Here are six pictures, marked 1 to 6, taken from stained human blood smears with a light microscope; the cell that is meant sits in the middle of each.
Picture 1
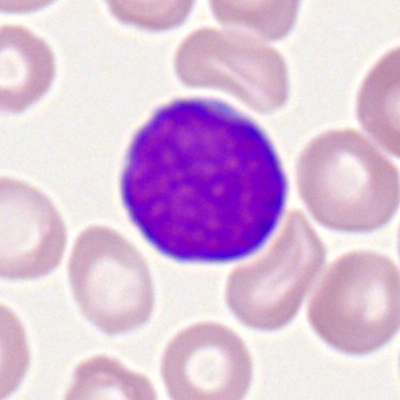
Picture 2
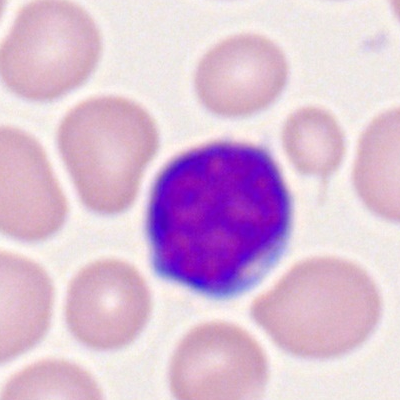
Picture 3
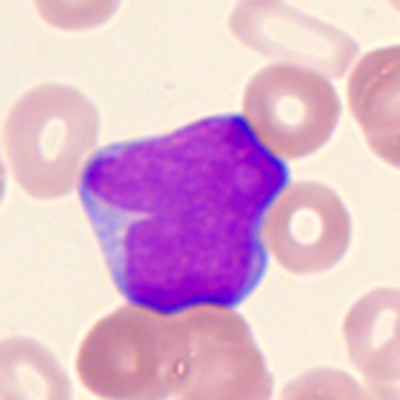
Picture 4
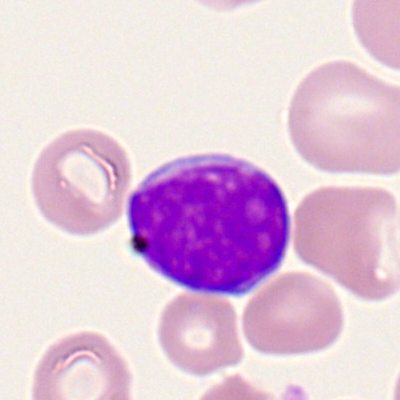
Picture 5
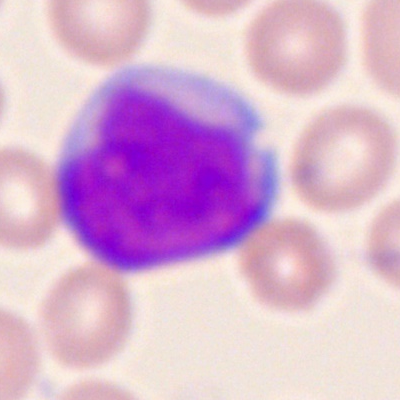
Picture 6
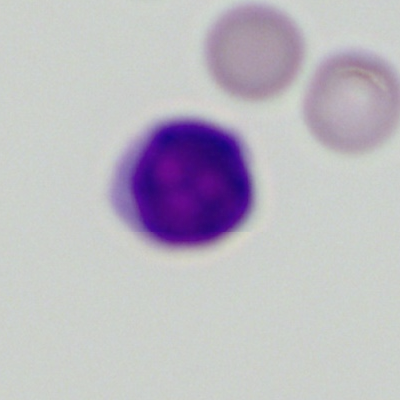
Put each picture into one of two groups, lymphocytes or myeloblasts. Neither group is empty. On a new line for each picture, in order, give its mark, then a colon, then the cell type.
1: myeloblast
2: lymphocyte
3: myeloblast
4: myeloblast
5: myeloblast
6: lymphocyte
